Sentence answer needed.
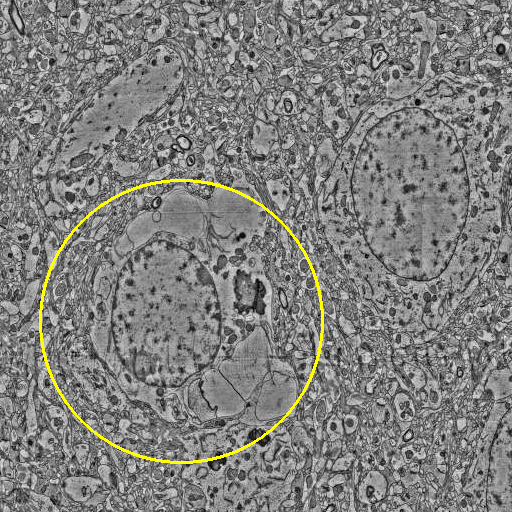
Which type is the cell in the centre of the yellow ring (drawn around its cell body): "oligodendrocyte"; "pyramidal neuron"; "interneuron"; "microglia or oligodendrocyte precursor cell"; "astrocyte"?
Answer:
In the centre of the yellow ring is an astrocyte.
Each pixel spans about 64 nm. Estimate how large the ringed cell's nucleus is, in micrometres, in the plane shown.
The nucleus has a long axis of about 9 micrometres and a short axis of about 7 micrometres in this plane.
